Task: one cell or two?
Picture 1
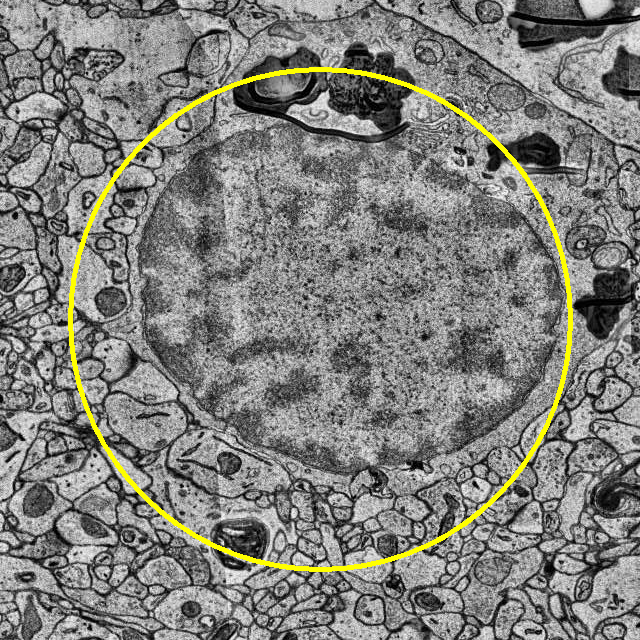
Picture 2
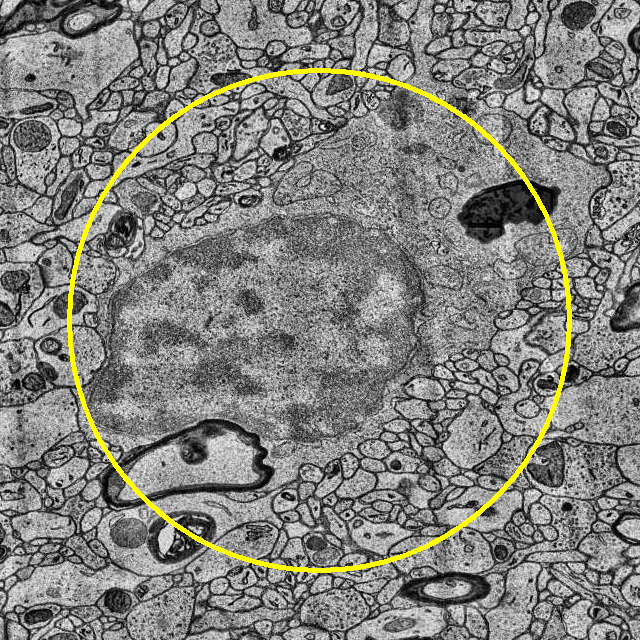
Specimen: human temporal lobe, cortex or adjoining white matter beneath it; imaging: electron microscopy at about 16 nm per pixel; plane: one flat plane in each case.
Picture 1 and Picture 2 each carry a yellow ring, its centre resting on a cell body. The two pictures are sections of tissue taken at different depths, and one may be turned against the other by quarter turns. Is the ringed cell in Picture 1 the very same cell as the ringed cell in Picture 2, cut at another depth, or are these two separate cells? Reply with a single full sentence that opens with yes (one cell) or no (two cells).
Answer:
No, these are two different cells, each marked with a ring.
